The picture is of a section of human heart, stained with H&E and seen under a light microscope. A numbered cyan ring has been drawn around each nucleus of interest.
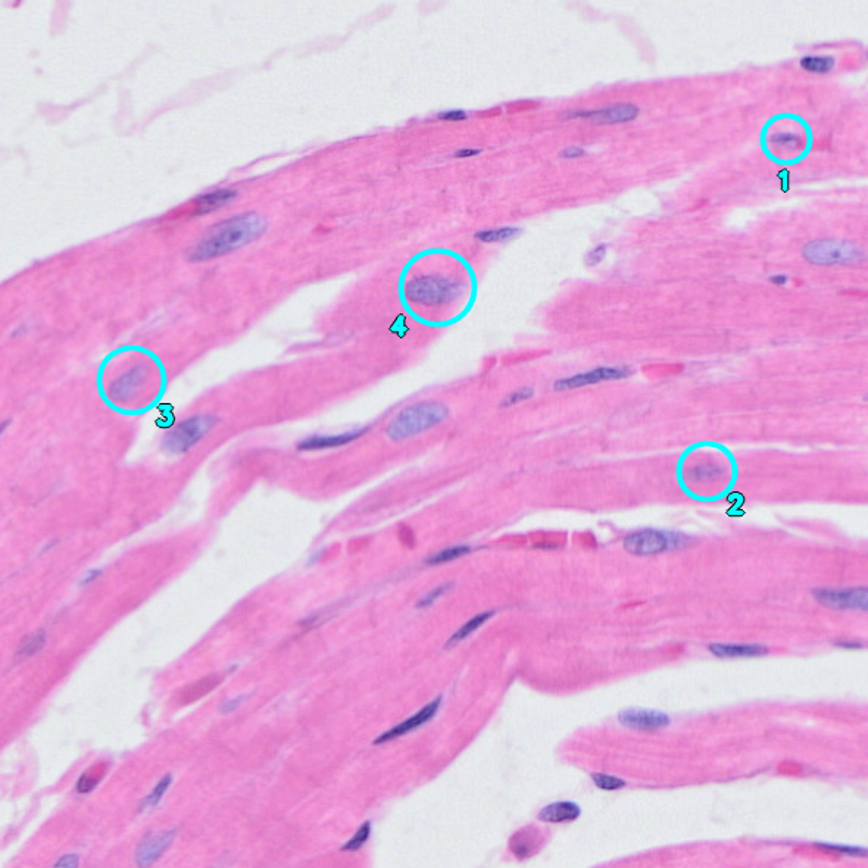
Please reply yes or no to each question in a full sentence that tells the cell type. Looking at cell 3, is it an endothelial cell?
No, number 3 marks a cardiomyocyte rather than an endothelial cell.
